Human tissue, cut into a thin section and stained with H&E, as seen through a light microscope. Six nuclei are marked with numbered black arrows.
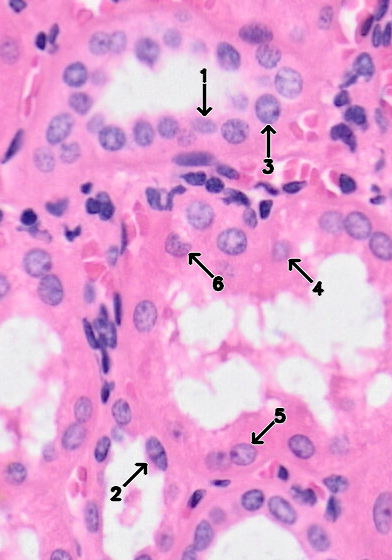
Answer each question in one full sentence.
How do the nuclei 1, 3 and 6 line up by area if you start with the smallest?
From smallest to largest, the order is 1, 6, 3.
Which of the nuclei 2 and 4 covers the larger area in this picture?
Of the two, number 2 is bigger and takes up about 1.5 times the area of number 4.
